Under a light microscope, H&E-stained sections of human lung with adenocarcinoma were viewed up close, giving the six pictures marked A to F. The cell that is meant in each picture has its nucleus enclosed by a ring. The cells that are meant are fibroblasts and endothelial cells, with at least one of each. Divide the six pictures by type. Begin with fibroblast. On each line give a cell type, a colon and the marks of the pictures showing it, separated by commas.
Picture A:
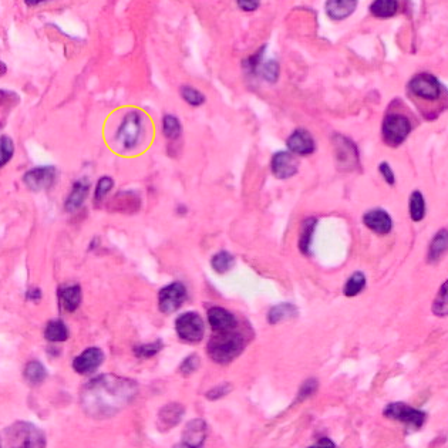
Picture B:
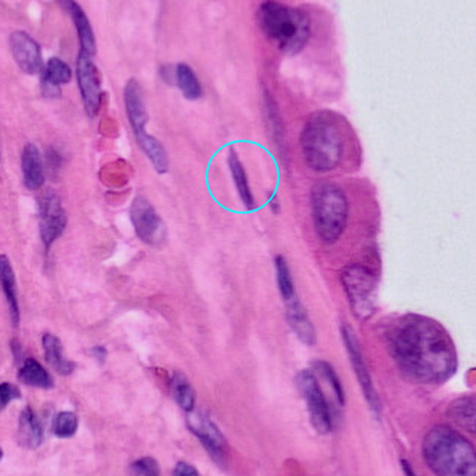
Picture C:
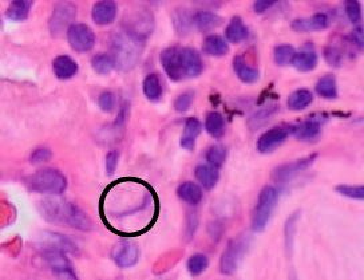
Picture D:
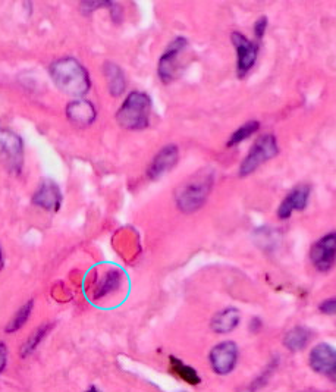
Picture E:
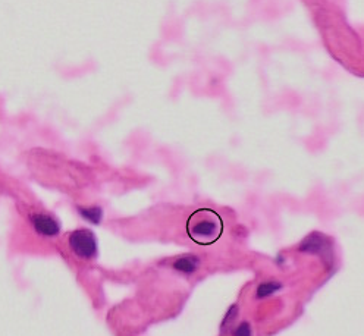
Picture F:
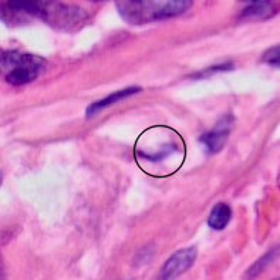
fibroblast: A, B, C, F
endothelial cell: D, E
